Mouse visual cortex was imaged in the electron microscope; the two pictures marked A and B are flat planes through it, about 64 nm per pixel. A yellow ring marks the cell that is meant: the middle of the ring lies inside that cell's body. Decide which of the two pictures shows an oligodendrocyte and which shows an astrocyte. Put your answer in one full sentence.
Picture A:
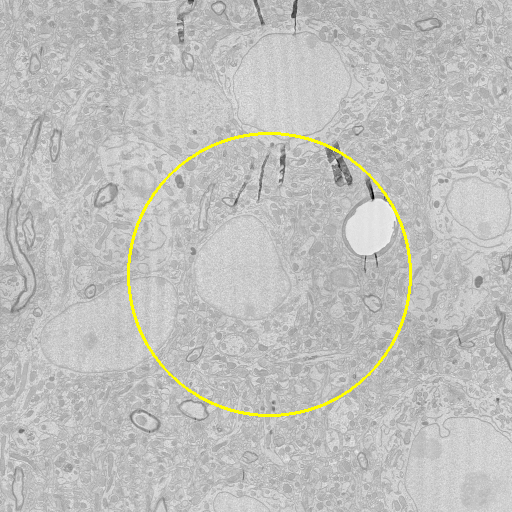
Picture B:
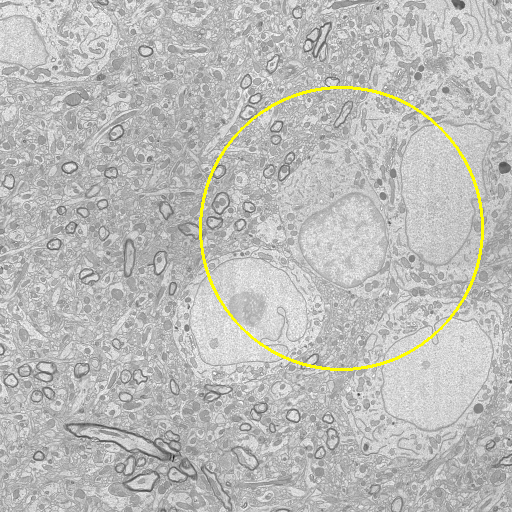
Picture A shows an astrocyte and picture B shows an oligodendrocyte.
